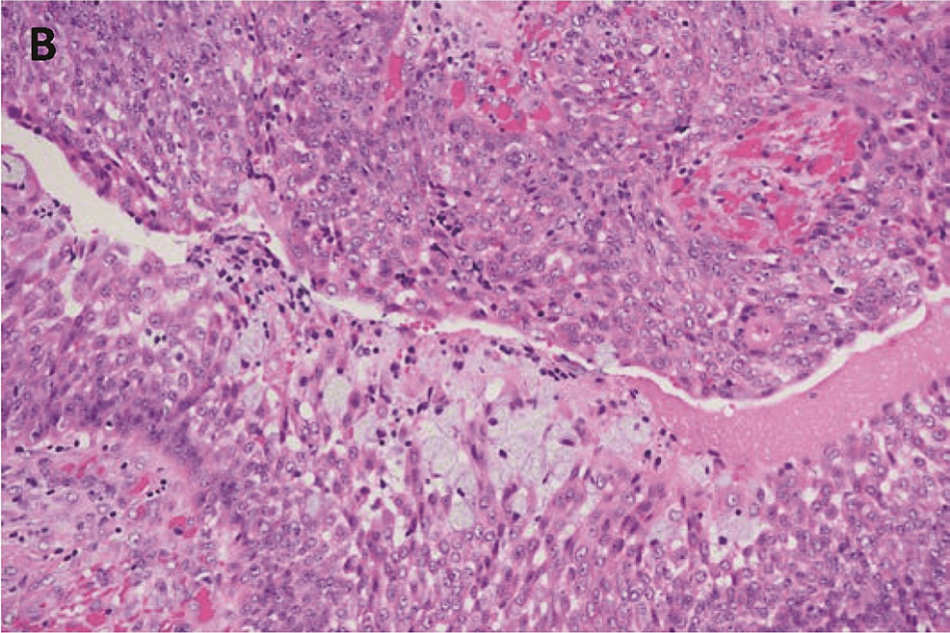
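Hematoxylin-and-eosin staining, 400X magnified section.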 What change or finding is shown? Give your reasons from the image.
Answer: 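Squamoid, clear cell, and mucinous differentiation. Sheets of polygonal cells with pink cytoplasm and round nuclei fill much of the field. A group of cells with pale, bluish-grey, bubbly cytoplasm lies in the lower middle.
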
